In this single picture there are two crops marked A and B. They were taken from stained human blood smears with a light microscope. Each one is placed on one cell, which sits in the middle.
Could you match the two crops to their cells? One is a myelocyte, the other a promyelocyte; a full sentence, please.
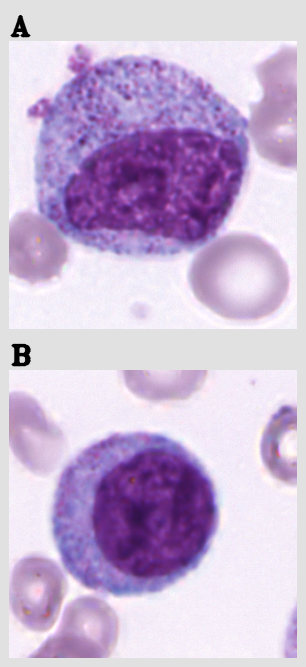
Crop A has been identified as a promyelocyte, and crop B has been identified as a myelocyte.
